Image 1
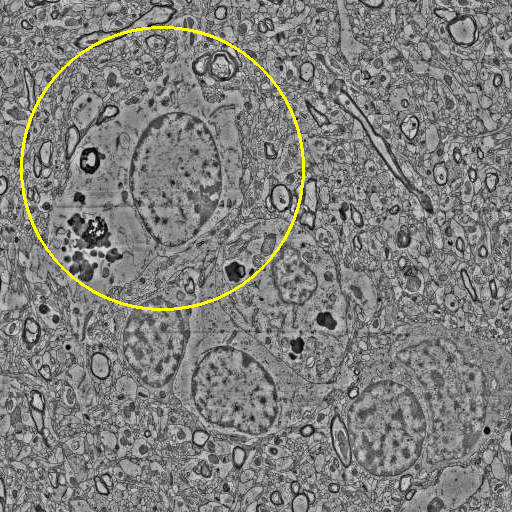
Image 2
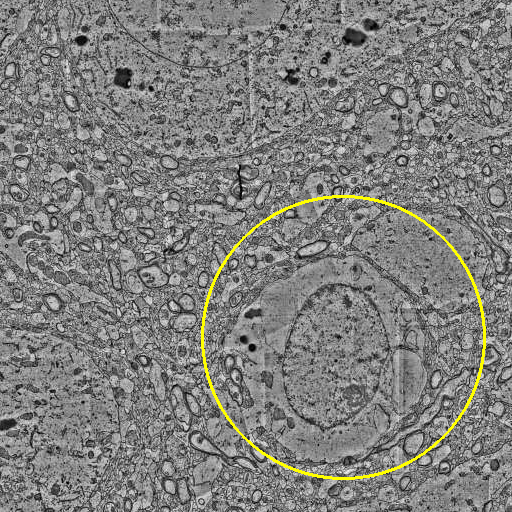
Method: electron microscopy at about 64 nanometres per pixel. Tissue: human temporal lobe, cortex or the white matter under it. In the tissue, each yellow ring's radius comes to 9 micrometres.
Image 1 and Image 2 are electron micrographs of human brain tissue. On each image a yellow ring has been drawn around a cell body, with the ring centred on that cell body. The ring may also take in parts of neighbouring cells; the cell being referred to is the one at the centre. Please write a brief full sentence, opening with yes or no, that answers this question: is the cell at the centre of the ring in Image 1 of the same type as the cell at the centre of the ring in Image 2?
Yes, both cells are of the same type.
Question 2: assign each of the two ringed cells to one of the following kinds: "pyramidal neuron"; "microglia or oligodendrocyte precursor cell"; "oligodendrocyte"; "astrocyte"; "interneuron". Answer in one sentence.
In the first picture and in the second, the ring is centred on an astrocyte.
